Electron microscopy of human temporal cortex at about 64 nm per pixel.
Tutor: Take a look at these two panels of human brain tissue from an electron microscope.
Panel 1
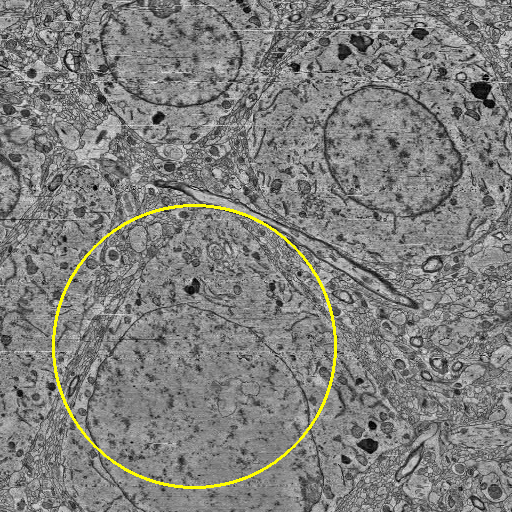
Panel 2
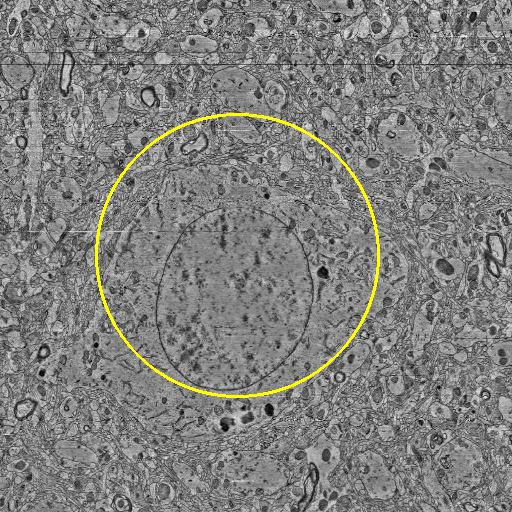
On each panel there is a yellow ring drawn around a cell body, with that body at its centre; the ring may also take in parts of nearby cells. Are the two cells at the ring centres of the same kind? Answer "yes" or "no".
yes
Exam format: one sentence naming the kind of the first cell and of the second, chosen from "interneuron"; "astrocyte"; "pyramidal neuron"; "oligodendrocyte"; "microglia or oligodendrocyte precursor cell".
Each of the ringed cells, first and second, is a pyramidal neuron.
